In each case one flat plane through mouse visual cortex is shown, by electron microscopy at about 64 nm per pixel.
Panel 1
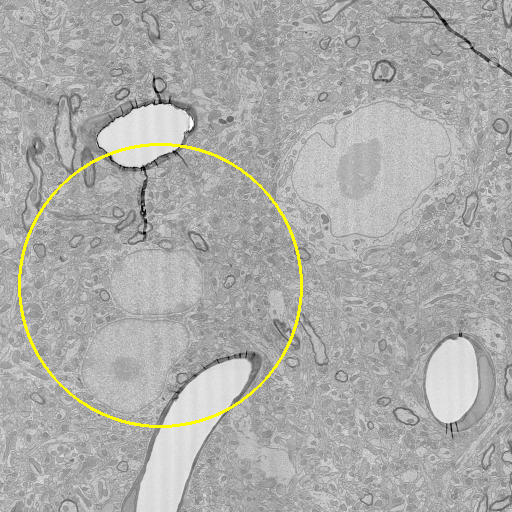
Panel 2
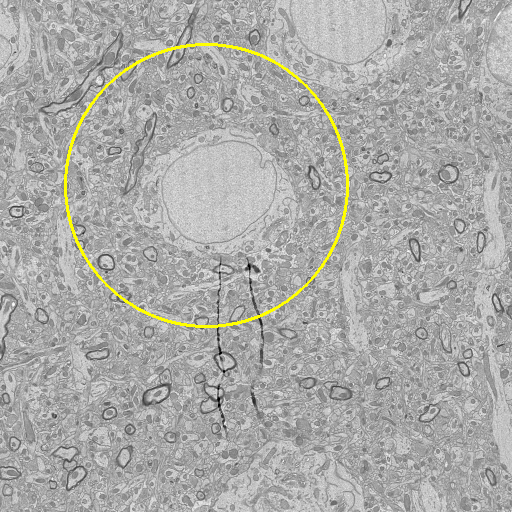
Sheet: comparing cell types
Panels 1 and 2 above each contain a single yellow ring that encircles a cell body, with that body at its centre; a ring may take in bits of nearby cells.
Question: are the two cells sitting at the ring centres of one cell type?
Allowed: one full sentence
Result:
No, the ring-centre cells in Panel 1 and Panel 2 are of two types.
